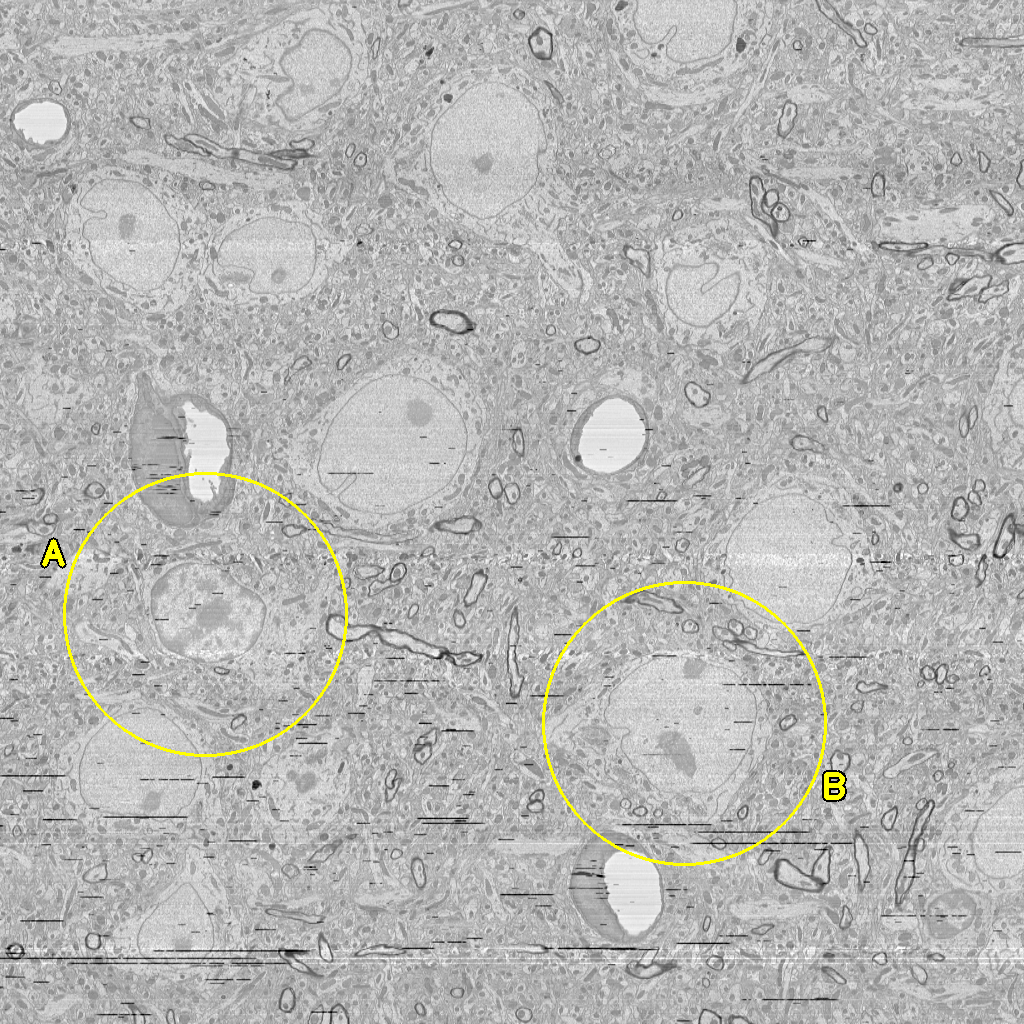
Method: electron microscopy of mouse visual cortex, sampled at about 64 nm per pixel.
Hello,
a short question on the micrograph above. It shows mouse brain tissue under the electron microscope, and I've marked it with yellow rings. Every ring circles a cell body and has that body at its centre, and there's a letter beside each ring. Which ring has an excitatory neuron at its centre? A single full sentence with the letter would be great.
The cell you asked about sits at the centre of ring B.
